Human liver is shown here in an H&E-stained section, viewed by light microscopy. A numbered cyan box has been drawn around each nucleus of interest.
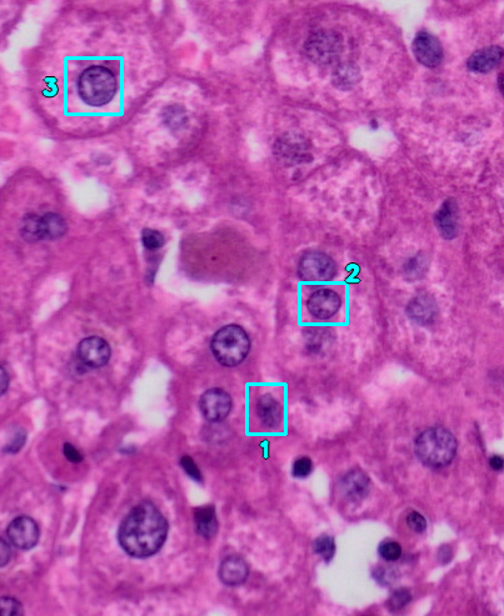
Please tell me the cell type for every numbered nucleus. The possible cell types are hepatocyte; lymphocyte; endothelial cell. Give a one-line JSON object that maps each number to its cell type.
{"1": "endothelial cell", "2": "hepatocyte", "3": "hepatocyte"}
